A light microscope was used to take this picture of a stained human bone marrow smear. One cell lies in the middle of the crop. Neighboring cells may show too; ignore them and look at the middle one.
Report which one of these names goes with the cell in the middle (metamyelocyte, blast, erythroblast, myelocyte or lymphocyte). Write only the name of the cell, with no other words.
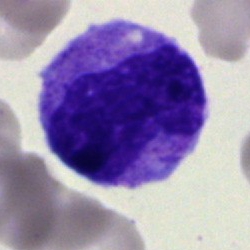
metamyelocyte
